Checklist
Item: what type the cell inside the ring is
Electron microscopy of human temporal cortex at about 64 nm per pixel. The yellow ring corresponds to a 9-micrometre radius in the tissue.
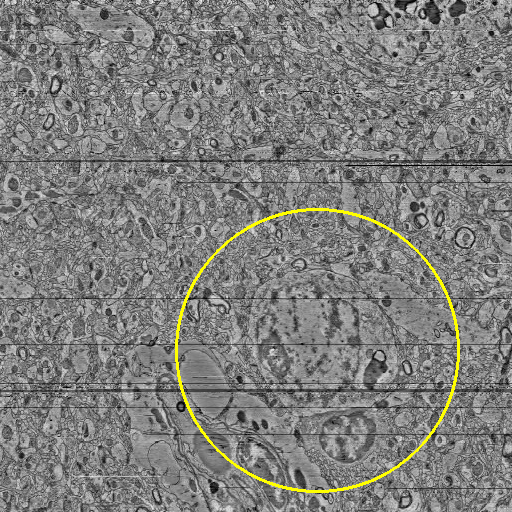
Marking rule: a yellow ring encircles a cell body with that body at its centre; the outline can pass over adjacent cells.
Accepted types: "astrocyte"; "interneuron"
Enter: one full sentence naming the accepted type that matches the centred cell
The entry is that an interneuron lies at the centre of the yellow ring.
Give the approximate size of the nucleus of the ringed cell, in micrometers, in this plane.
Approximately 8 micrometres long and 7 micrometres wide, in this plane.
